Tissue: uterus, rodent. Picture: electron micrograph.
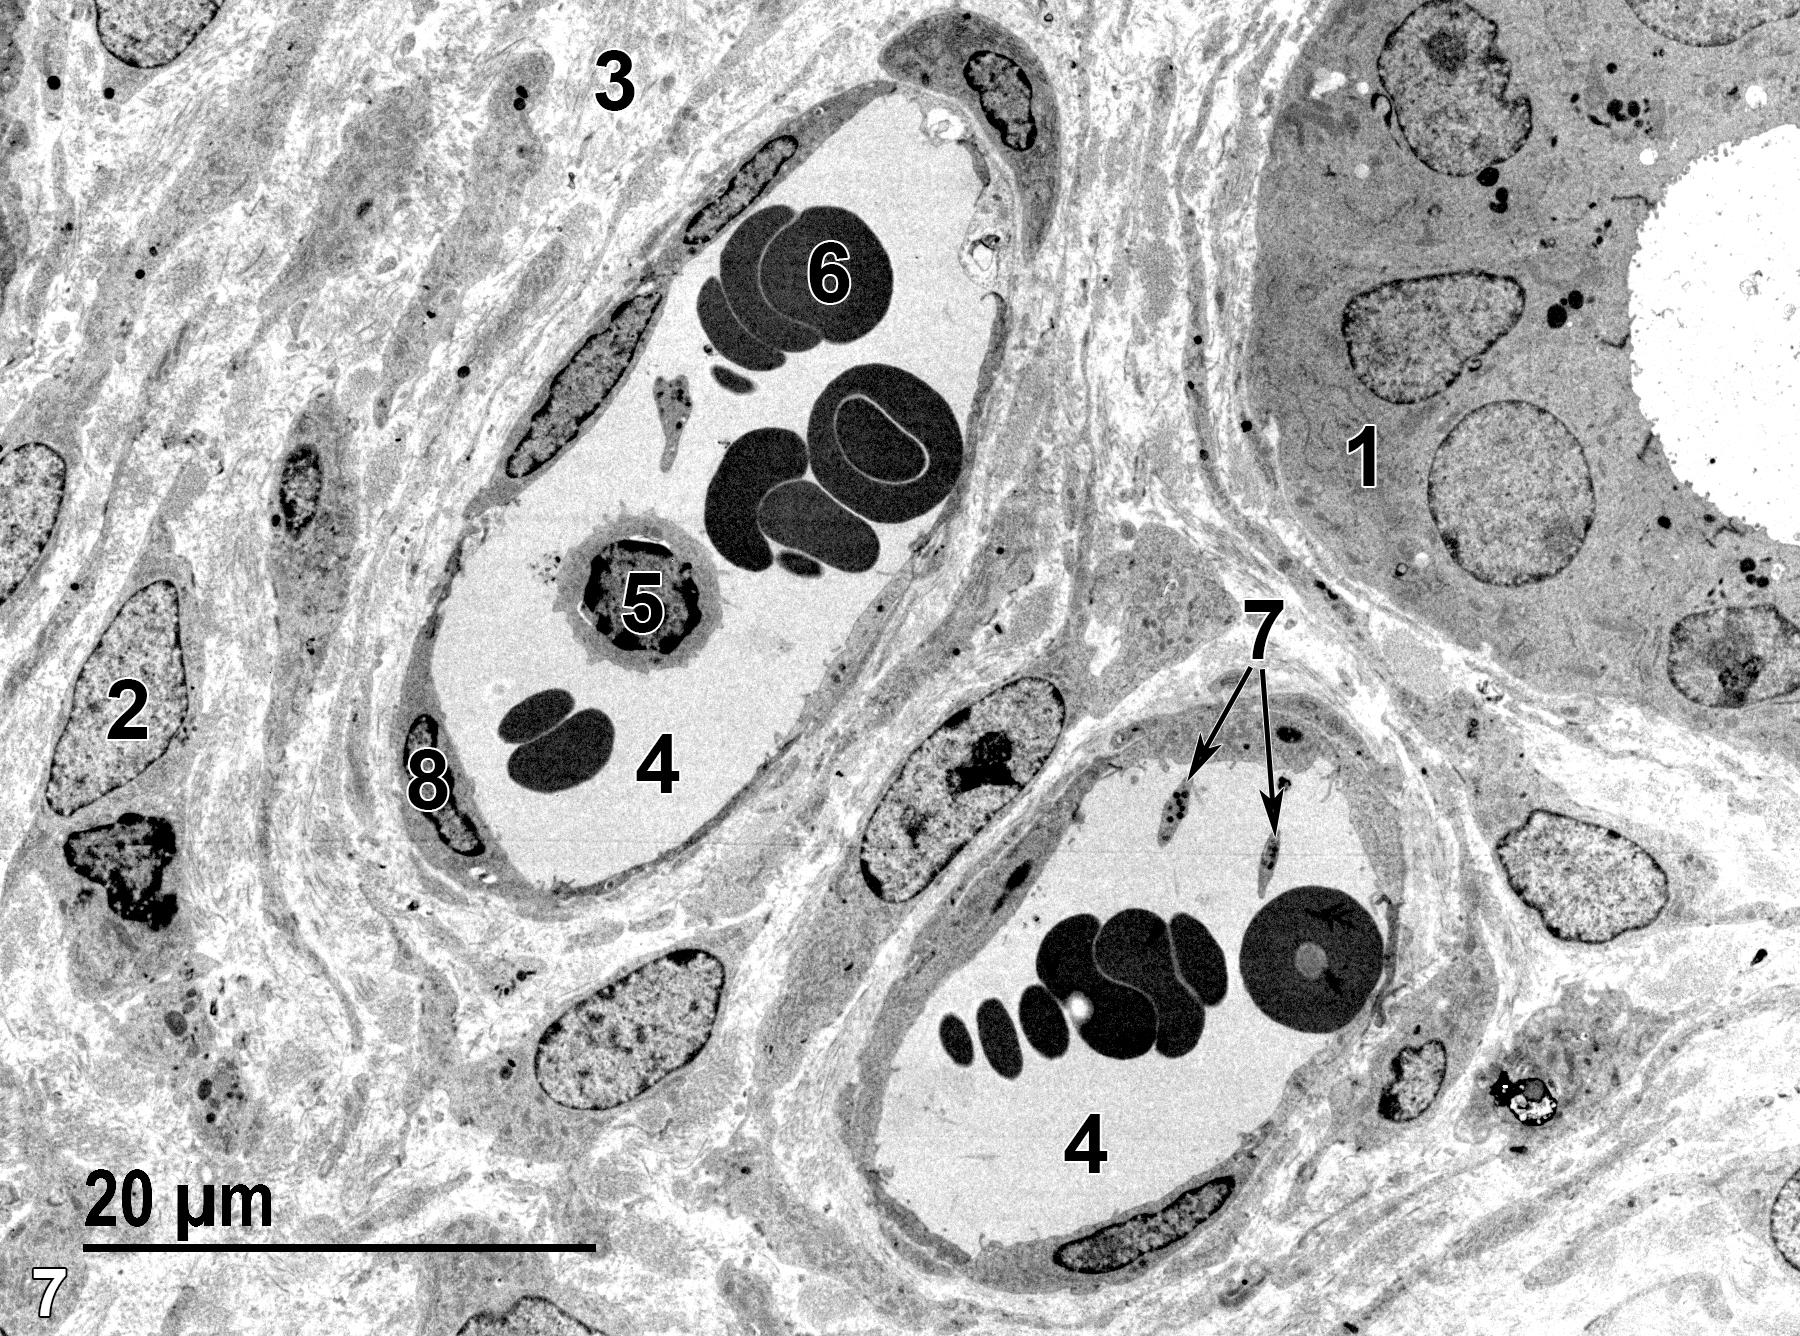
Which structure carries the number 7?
Platelets.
